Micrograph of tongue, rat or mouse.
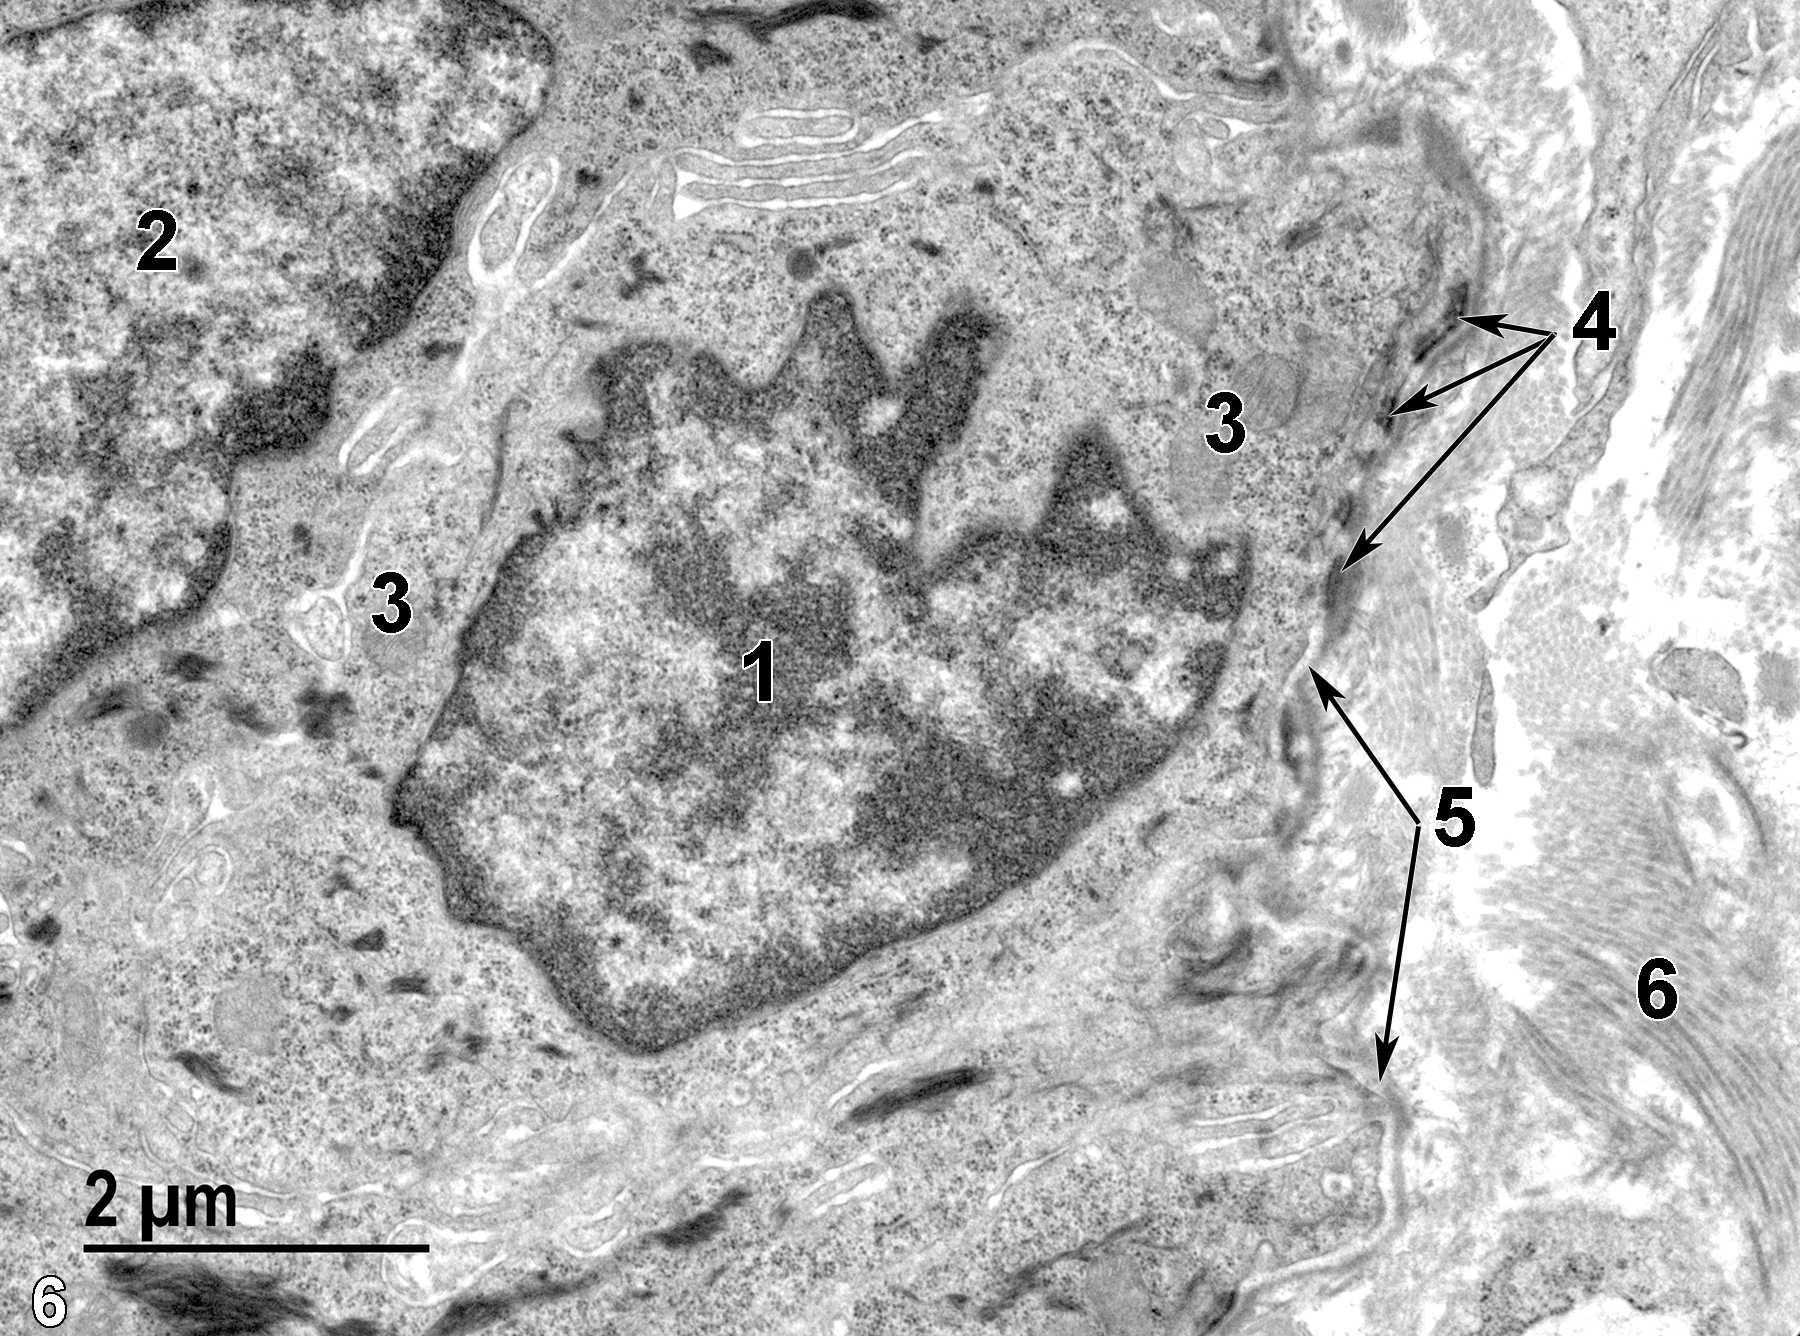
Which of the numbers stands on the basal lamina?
The basal lamina: 5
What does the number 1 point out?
The number 1 marks the nucleus of the basal cell.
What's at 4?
Hemidesmosomes.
